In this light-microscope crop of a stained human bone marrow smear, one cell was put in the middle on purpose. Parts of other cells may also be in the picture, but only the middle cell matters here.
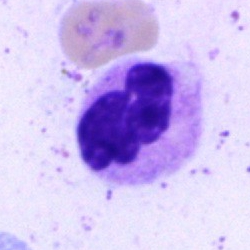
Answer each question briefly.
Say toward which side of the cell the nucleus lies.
left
